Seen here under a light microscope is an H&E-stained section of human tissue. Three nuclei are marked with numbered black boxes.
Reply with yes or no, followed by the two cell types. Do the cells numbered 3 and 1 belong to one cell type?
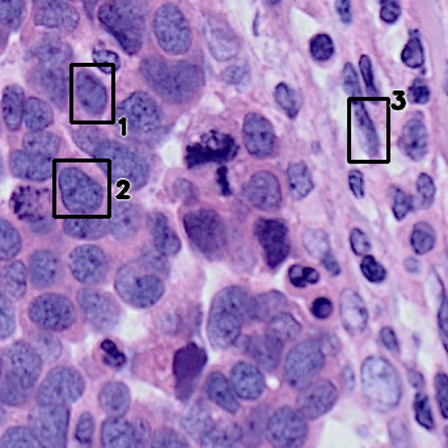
No, the cell labelled 3 is a fibroblast; the cell labelled 1 is a carcinoma cell.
